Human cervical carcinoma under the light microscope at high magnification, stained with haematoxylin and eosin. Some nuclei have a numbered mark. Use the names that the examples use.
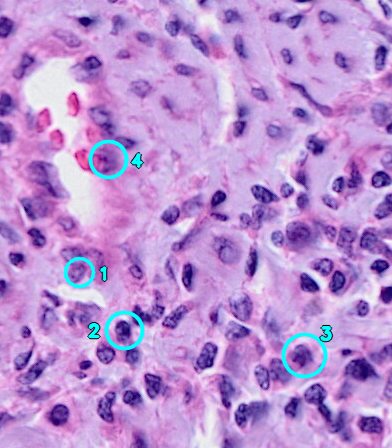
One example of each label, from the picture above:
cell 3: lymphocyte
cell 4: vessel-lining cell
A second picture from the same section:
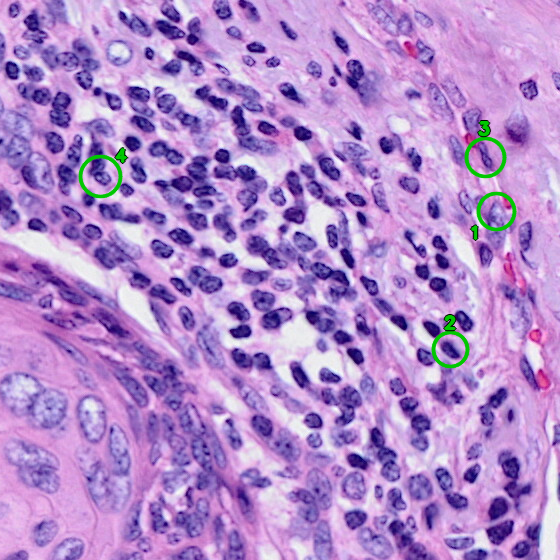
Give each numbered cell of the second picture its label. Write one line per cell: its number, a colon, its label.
1: vessel-lining cell
2: lymphocyte
3: vessel-lining cell
4: lymphocyte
